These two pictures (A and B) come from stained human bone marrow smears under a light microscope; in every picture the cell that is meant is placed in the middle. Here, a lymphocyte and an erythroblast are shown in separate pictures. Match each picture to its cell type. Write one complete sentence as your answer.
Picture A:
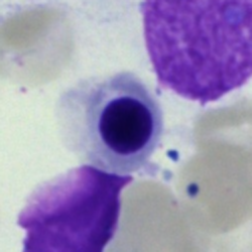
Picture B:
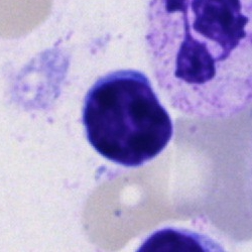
It is picture A that shows an erythroblast, and picture B that shows a lymphocyte.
